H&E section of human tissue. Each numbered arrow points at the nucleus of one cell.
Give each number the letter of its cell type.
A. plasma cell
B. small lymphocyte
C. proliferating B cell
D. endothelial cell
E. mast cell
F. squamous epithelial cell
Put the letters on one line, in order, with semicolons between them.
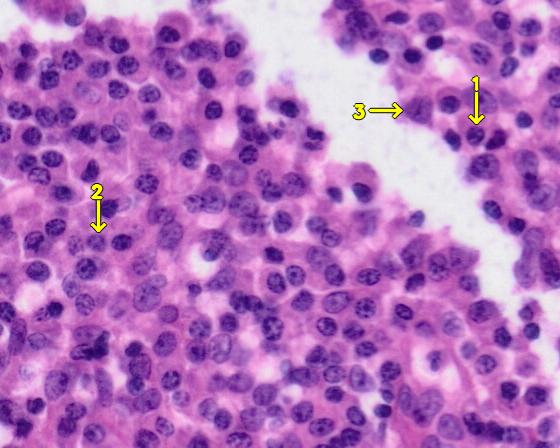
A; A; F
